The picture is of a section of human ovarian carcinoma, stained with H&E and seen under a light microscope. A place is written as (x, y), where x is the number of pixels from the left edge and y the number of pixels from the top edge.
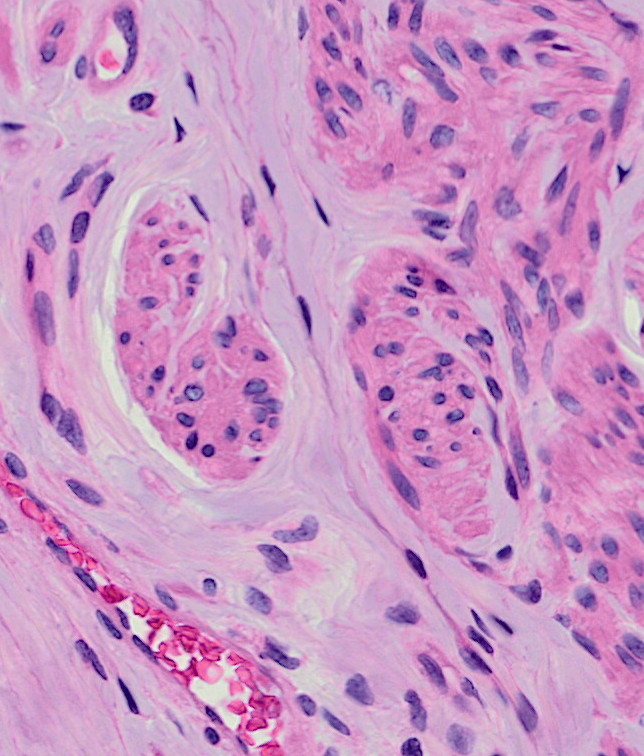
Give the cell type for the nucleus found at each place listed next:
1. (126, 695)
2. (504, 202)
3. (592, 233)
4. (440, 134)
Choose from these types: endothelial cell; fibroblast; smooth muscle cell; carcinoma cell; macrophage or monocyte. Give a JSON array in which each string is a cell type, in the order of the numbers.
["fibroblast", "smooth muscle cell", "smooth muscle cell", "smooth muscle cell"]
